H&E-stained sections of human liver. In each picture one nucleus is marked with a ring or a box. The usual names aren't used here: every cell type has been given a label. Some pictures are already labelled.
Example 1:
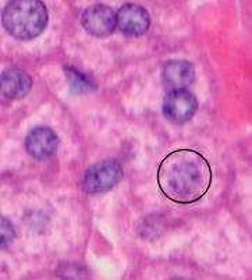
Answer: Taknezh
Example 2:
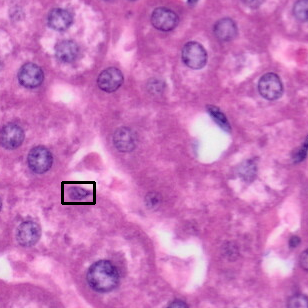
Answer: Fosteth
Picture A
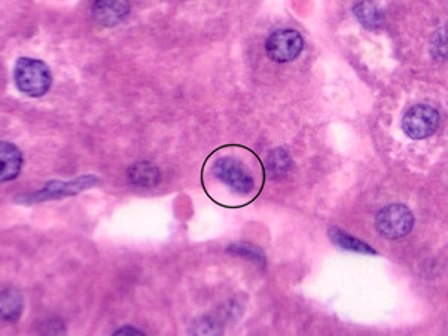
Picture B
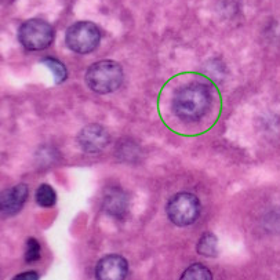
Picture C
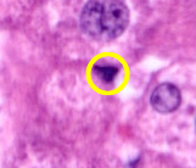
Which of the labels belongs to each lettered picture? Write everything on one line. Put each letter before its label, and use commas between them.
A Fosteth, B Taknezh, C Fosteth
